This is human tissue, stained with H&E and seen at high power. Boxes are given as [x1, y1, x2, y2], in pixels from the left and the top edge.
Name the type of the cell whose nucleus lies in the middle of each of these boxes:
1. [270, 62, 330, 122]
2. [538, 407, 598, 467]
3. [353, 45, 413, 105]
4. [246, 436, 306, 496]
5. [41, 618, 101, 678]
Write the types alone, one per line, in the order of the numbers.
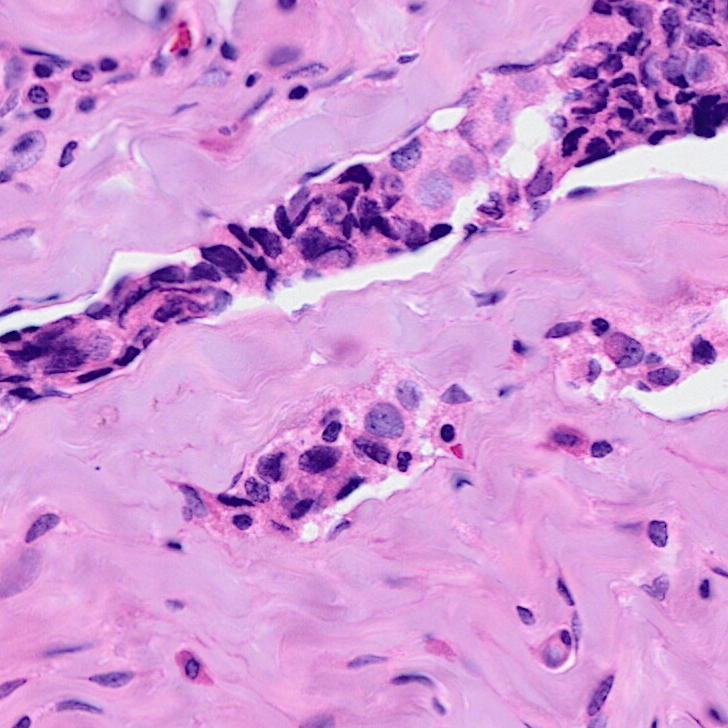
lymphocyte
mast cell
fibroblast
carcinoma cell
fibroblast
